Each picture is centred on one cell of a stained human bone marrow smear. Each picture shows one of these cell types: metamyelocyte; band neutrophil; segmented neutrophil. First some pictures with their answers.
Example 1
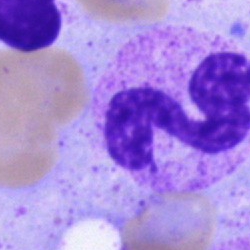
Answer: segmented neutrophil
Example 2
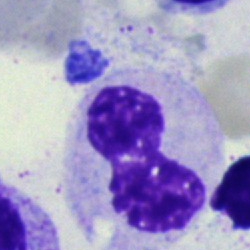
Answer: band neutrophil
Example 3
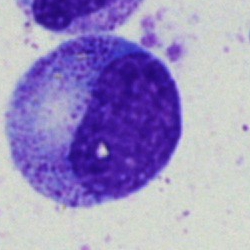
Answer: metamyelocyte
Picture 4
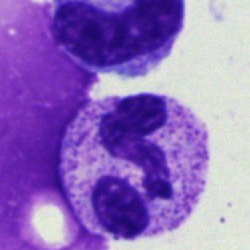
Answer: segmented neutrophil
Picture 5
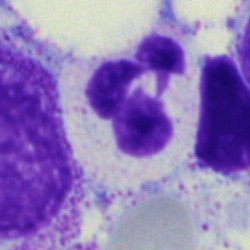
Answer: segmented neutrophil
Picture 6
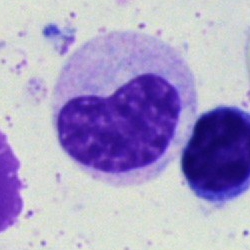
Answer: metamyelocyte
